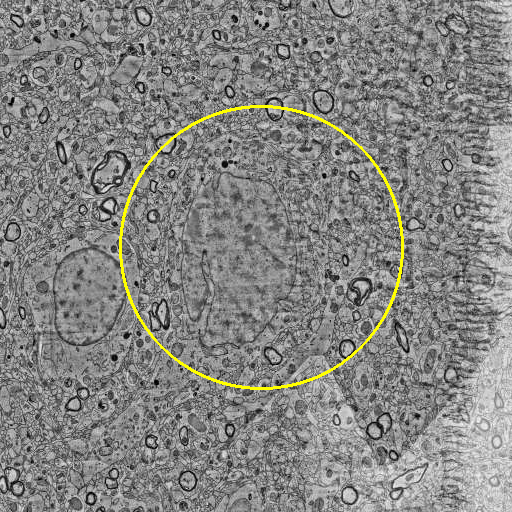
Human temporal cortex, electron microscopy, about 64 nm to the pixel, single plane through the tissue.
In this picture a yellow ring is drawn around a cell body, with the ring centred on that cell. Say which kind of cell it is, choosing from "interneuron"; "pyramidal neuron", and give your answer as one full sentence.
Here it is an interneuron that sits at the centre of the drawn yellow ring.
